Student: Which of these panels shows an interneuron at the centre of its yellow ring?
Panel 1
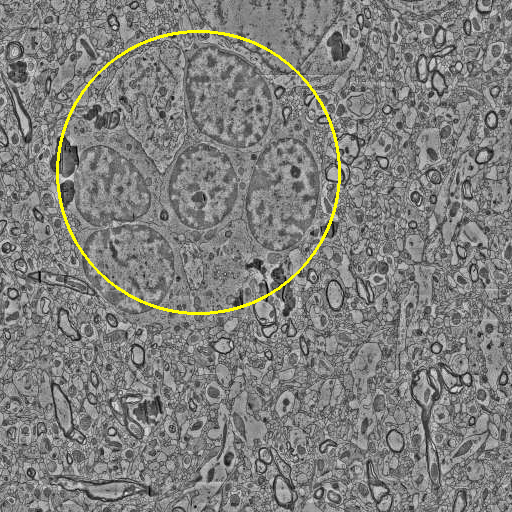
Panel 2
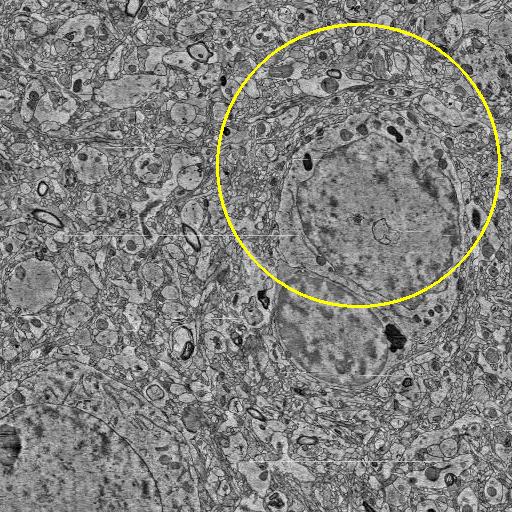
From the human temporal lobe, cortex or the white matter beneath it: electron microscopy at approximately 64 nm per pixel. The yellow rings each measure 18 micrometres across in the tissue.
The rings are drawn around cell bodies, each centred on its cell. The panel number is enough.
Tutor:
2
